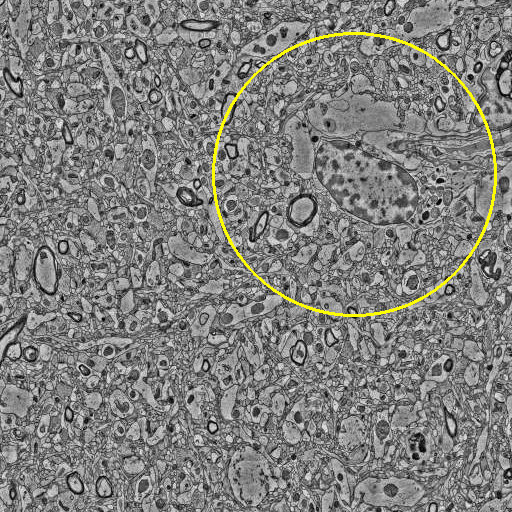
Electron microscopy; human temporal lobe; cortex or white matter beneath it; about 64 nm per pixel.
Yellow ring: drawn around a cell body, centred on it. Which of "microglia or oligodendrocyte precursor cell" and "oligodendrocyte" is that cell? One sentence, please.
That cell body is from a microglial cell or oligodendrocyte precursor cell.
